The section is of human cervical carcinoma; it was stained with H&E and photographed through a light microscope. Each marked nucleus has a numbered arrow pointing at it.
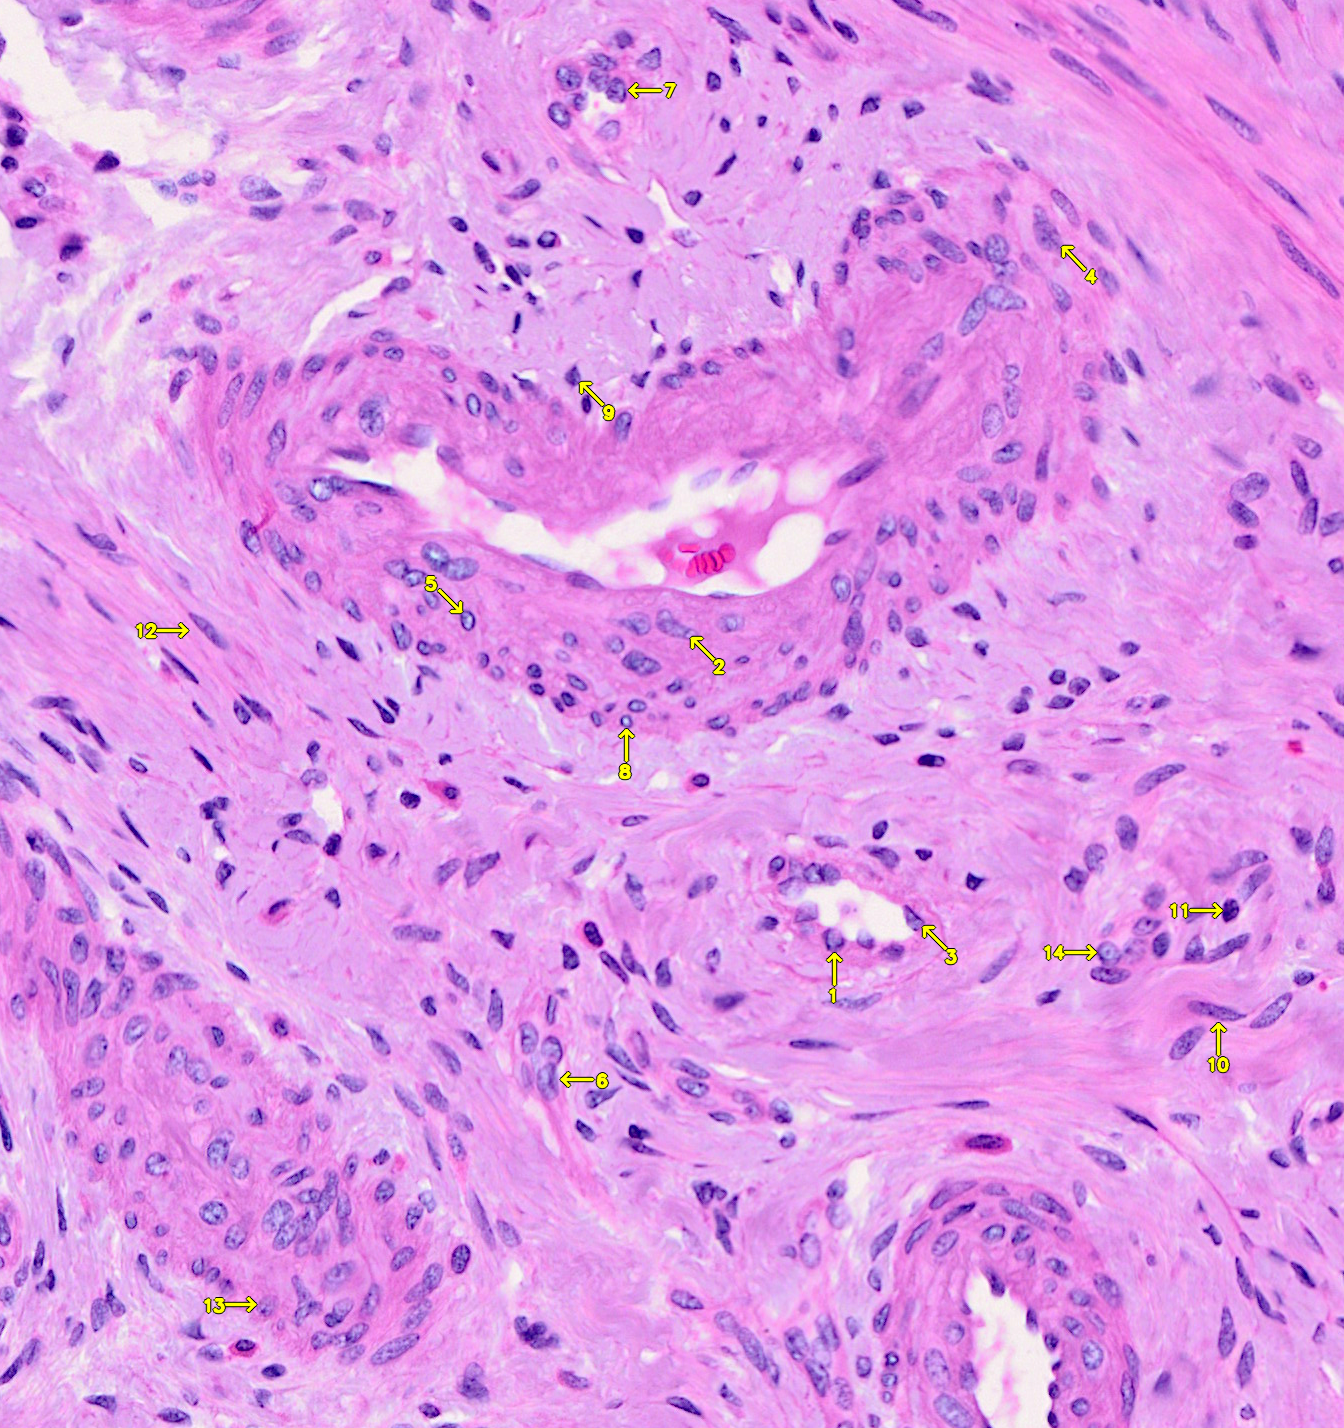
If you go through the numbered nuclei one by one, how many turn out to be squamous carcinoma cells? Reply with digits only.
0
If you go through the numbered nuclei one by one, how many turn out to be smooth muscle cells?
5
